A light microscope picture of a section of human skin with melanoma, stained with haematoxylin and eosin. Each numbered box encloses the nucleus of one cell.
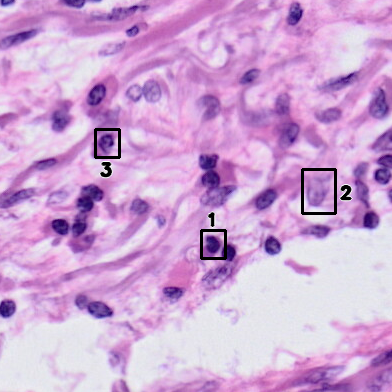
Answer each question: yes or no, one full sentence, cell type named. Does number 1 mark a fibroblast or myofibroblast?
No, cell 1 represents a plasma cell rather than a fibroblast or myofibroblast.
